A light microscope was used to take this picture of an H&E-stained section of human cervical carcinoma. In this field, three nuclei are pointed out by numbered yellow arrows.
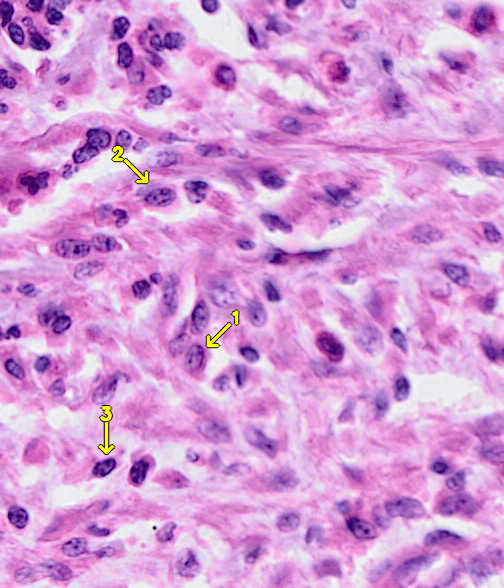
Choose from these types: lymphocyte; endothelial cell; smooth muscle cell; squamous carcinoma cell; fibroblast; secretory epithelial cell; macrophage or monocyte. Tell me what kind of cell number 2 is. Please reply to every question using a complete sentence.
The marked cell with the number 2 is recognised as a macrophage or monocyte.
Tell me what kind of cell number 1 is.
Recognised here as a macrophage or monocyte is the cell numbered 1.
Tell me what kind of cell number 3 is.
In the tissue shown, cell 3 is a lymphocyte.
